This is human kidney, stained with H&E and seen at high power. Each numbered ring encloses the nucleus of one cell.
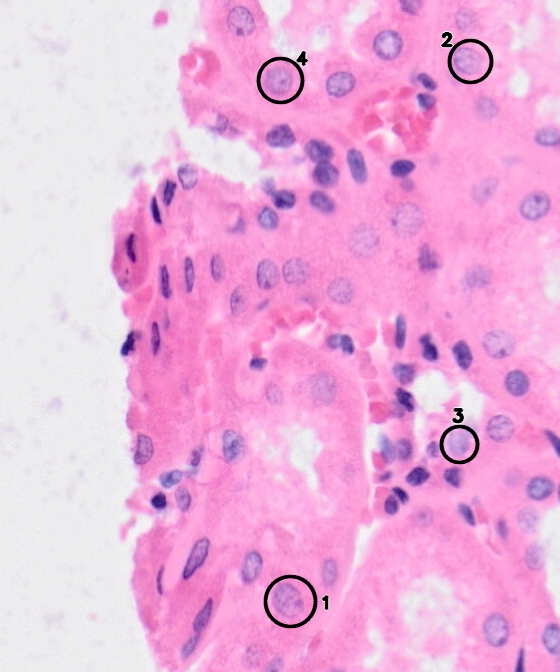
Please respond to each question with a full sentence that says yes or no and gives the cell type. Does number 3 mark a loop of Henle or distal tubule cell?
Yes, the cell tagged with number 3 is a loop of Henle or distal tubule cell.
